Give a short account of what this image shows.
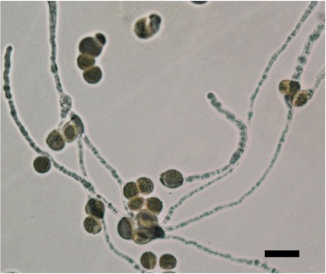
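The grains are dark, rounded and lie partly in a cluster in the middle. From the grains long, thin, somewhat wavy tubes extend across the field, many times longer than a grain's width. Some grains at the edges have no tube.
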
